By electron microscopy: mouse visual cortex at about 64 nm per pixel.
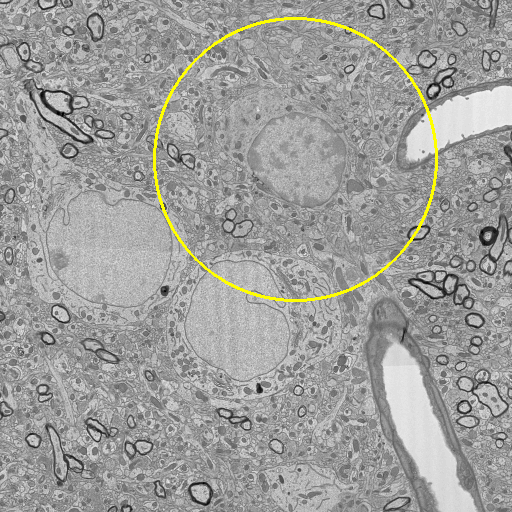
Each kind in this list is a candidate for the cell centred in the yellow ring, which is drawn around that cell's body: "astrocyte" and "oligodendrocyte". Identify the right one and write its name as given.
oligodendrocyte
